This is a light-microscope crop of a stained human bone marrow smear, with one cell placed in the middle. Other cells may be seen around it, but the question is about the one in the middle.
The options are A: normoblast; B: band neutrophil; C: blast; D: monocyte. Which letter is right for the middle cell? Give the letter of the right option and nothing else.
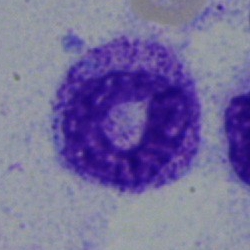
B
